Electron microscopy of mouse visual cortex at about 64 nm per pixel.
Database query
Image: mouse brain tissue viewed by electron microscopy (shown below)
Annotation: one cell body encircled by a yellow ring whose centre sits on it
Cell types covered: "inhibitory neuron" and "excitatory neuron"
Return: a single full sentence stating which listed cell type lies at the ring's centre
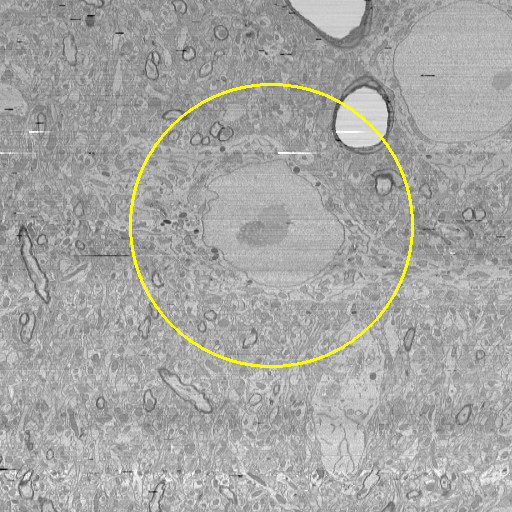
In the image, the cell lying at the ring's centre is an inhibitory neuron.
